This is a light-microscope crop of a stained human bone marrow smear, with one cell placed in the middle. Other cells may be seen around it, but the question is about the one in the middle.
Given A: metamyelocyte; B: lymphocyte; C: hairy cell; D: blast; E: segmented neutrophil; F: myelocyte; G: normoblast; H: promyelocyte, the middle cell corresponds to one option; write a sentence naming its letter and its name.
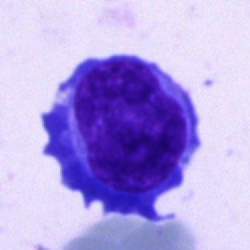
The central cell of the crop is a blast, which makes D the correct option.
